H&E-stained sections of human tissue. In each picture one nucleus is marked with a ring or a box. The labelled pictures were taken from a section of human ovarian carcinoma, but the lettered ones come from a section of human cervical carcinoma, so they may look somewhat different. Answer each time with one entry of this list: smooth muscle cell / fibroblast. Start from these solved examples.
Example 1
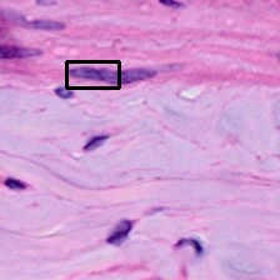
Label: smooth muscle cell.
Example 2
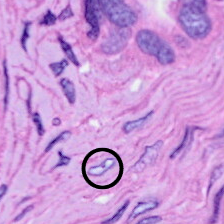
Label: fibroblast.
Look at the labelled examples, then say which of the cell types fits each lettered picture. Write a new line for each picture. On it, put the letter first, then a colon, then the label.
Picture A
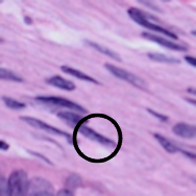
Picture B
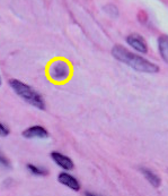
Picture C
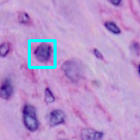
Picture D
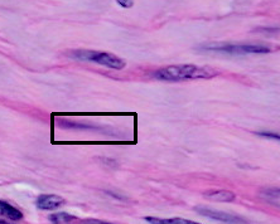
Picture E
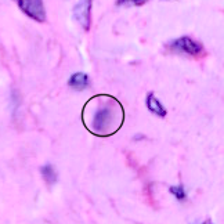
A: fibroblast.
B: fibroblast.
C: smooth muscle cell.
D: smooth muscle cell.
E: fibroblast.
